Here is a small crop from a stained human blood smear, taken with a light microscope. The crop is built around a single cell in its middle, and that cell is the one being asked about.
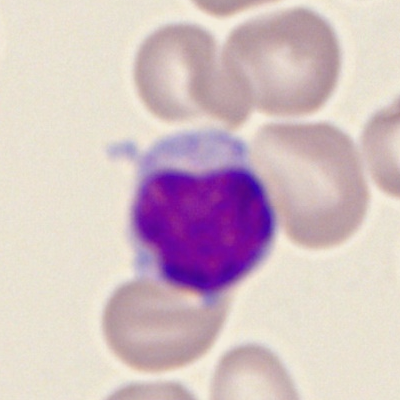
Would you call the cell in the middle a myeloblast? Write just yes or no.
no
